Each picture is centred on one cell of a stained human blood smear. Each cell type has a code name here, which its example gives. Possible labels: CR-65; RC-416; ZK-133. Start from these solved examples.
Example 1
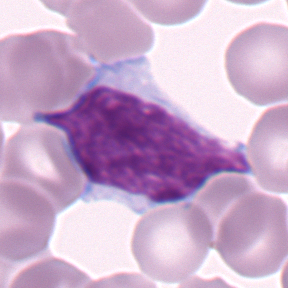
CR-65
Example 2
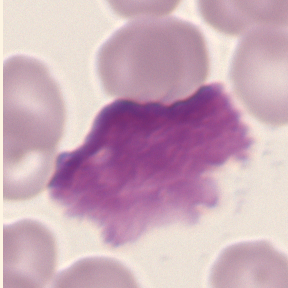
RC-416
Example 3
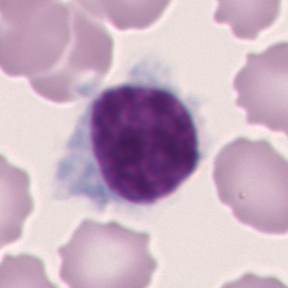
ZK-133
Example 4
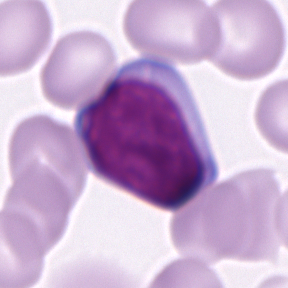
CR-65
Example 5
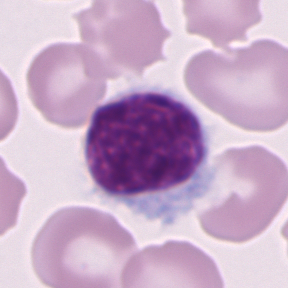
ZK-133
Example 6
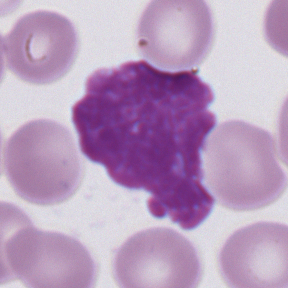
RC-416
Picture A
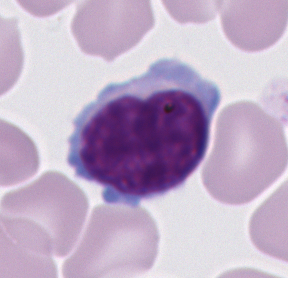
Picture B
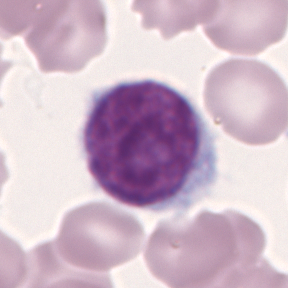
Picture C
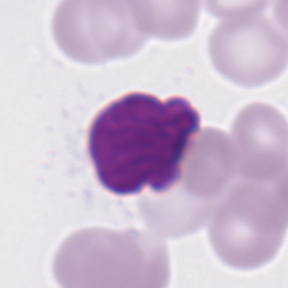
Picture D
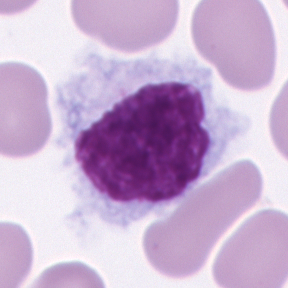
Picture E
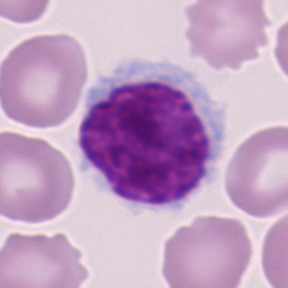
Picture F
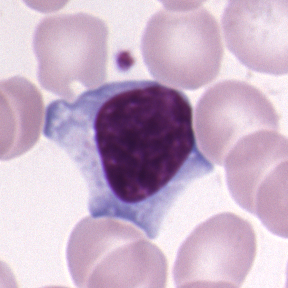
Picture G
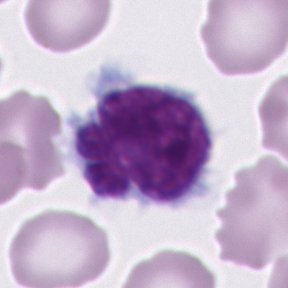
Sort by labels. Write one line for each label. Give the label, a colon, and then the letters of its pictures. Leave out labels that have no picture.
CR-65: A, F
RC-416: C
ZK-133: B, D, E, G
